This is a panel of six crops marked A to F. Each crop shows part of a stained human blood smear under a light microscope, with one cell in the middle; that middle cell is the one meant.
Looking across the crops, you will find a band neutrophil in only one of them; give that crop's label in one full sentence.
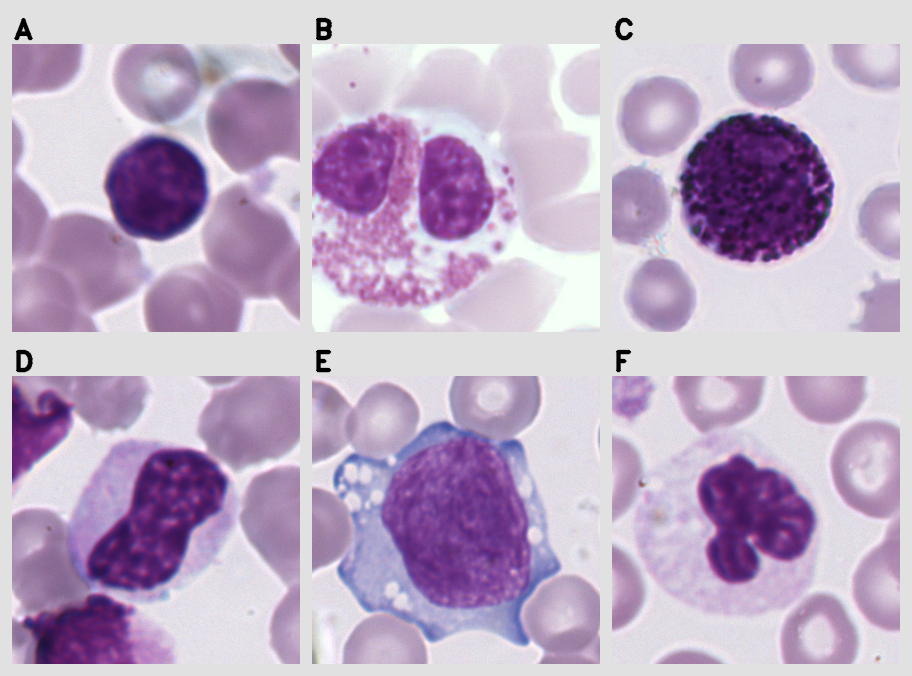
Crop D is the correct crop, and it shows a band neutrophil.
